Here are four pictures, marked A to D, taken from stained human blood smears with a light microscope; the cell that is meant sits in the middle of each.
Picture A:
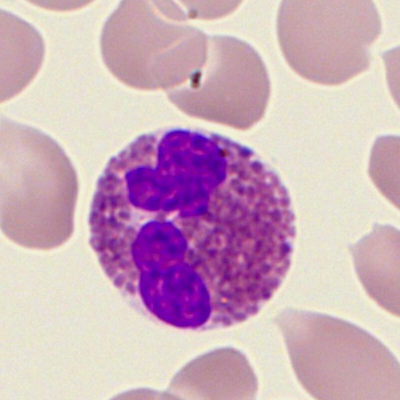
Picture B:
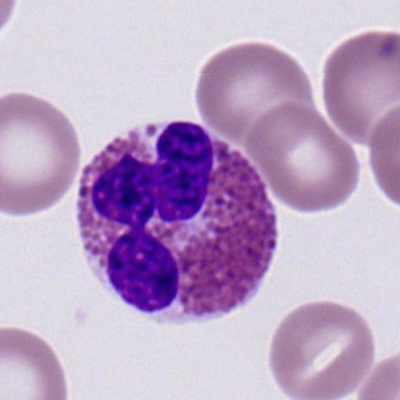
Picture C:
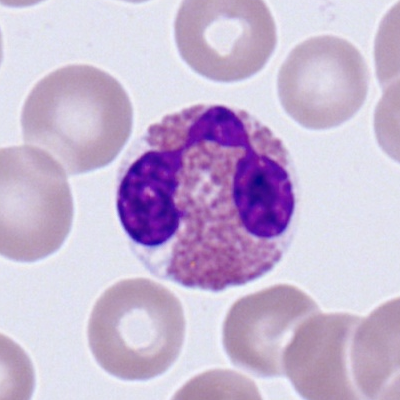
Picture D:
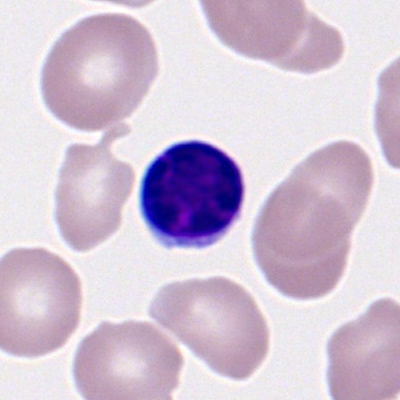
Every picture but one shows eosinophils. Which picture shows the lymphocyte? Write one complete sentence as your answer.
Picture D shows the lymphocyte.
